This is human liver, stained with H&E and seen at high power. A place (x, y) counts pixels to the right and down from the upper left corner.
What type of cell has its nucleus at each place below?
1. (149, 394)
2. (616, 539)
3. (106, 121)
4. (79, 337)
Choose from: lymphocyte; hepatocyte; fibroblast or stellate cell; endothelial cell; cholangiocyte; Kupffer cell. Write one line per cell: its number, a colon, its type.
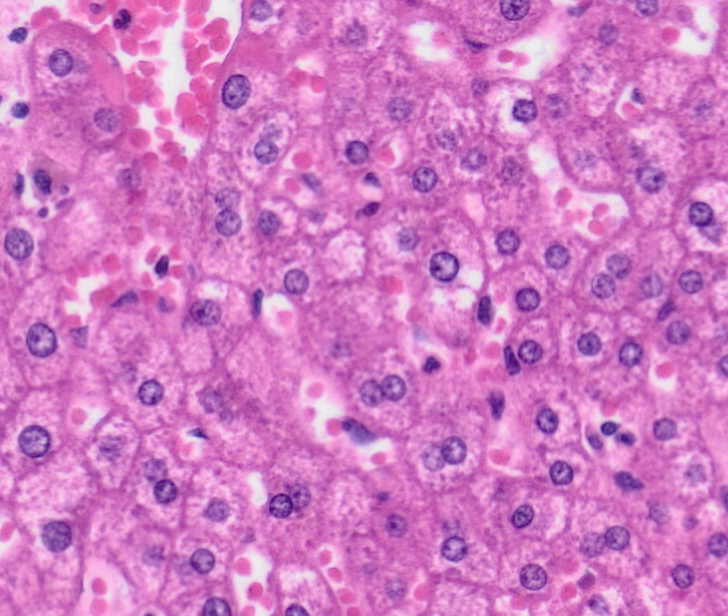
1: hepatocyte
2: hepatocyte
3: hepatocyte
4: endothelial cell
